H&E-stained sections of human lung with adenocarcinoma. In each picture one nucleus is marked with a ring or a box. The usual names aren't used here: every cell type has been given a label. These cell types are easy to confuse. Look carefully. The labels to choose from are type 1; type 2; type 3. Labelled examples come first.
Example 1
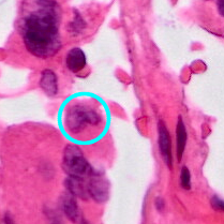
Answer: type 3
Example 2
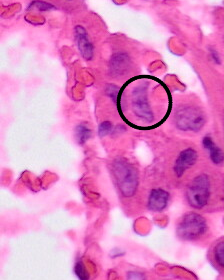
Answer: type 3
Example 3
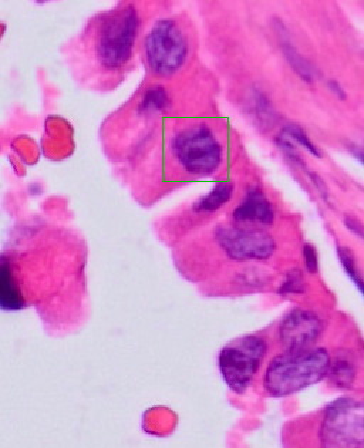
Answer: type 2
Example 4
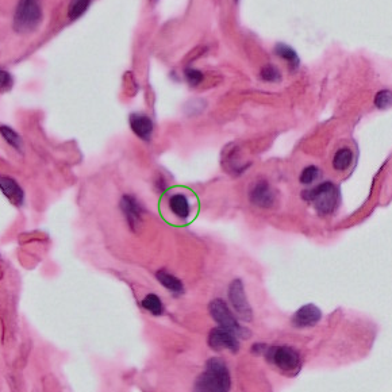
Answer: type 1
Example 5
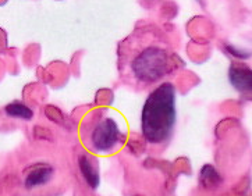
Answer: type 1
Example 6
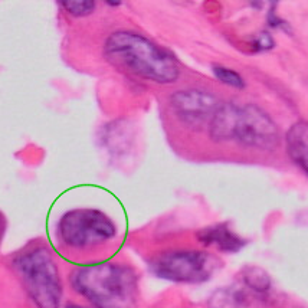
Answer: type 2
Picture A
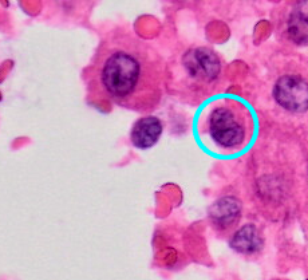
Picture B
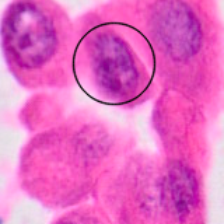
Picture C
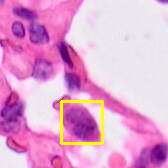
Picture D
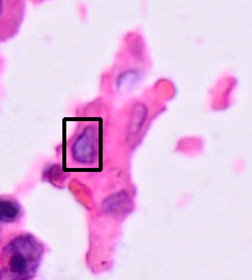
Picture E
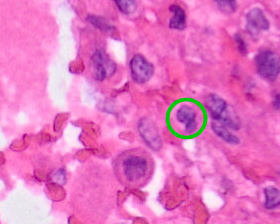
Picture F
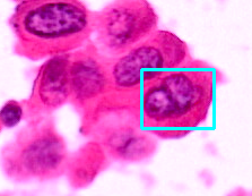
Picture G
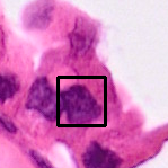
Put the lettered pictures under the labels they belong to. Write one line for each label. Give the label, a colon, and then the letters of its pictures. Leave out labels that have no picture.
type 2: B, F, G
type 3: A, C, D, E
